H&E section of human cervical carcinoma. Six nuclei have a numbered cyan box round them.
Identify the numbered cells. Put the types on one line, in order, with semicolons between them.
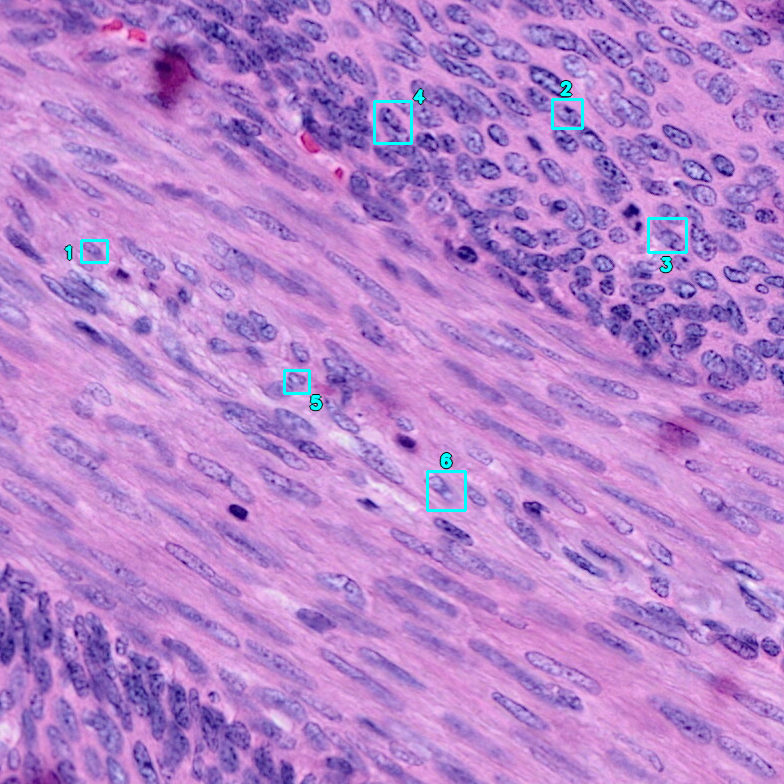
smooth muscle cell; squamous carcinoma cell; squamous carcinoma cell; squamous carcinoma cell; smooth muscle cell; smooth muscle cell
